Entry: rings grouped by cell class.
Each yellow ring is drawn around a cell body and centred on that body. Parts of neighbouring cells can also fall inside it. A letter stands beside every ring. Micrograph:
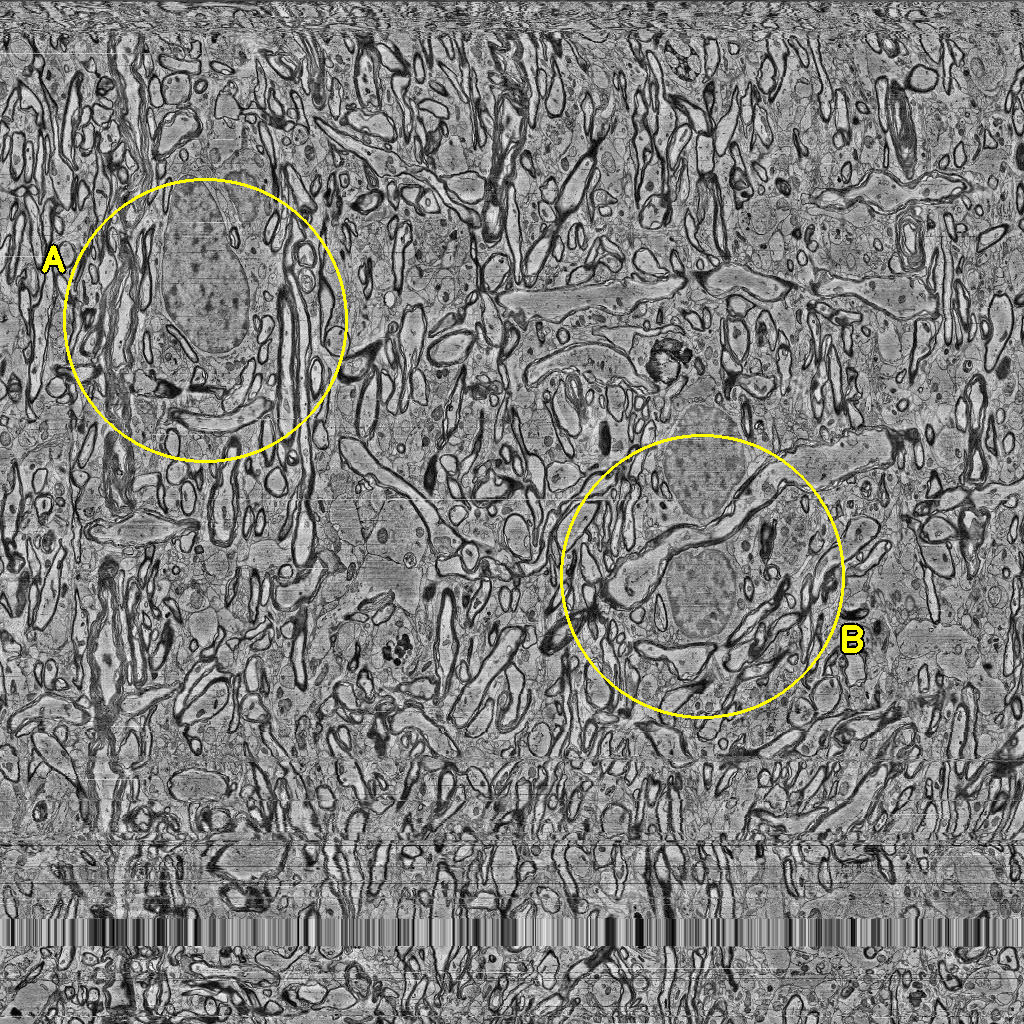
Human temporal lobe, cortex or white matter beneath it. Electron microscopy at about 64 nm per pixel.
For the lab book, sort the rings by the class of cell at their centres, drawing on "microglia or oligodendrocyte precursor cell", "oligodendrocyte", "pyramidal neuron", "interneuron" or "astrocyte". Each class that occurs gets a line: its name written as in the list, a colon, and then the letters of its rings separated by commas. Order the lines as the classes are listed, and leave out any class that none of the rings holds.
microglia or oligodendrocyte precursor cell: A
oligodendrocyte: B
